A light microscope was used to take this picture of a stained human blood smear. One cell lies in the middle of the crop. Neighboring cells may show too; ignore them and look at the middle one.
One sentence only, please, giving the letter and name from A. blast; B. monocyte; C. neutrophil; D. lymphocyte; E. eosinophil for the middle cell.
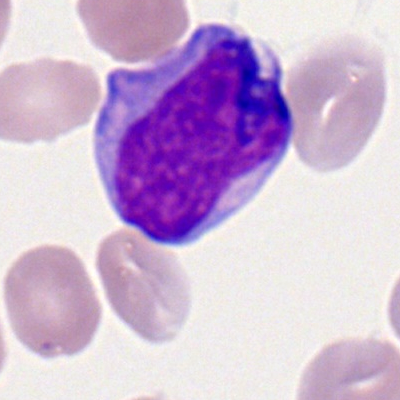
Option A gives the correct identity of the central cell, namely a blast.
